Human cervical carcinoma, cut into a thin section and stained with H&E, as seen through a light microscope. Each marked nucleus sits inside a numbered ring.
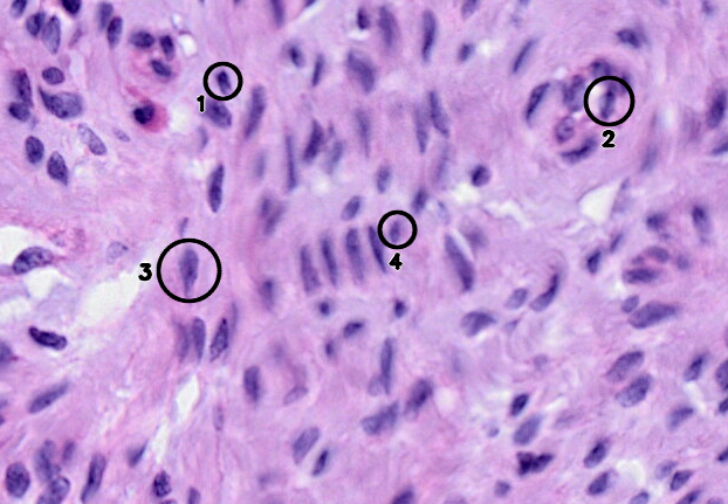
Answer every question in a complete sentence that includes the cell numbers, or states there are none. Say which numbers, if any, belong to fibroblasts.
The cells with the numbers 1, 3 and 4 are fibroblasts.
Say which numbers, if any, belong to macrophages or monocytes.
Without exception, the numbered cells are not macrophages or monocytes.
